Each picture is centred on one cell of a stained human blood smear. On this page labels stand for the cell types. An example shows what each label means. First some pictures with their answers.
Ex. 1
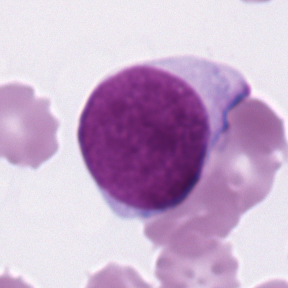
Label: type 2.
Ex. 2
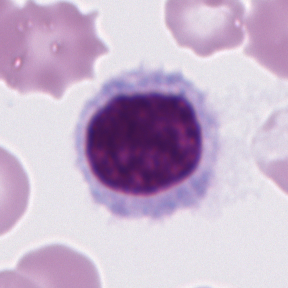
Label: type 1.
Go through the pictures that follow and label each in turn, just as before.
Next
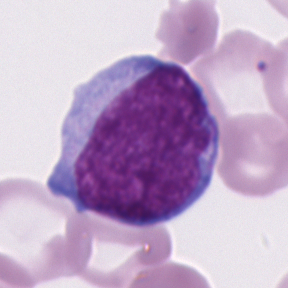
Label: type 2.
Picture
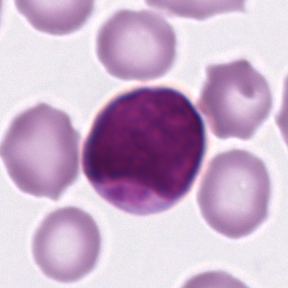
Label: type 2.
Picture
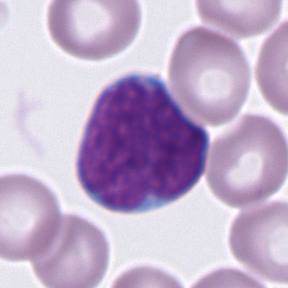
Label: type 2.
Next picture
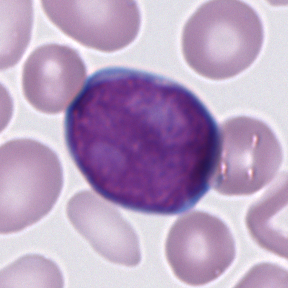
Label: type 2.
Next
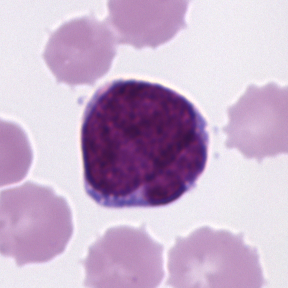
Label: type 2.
